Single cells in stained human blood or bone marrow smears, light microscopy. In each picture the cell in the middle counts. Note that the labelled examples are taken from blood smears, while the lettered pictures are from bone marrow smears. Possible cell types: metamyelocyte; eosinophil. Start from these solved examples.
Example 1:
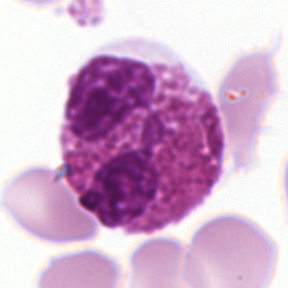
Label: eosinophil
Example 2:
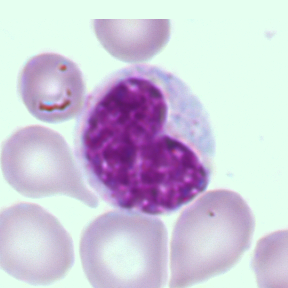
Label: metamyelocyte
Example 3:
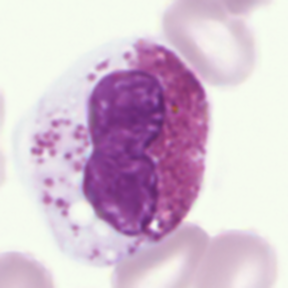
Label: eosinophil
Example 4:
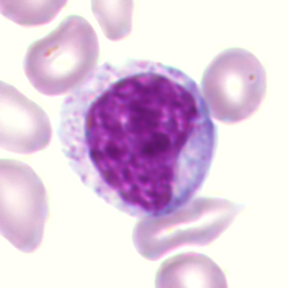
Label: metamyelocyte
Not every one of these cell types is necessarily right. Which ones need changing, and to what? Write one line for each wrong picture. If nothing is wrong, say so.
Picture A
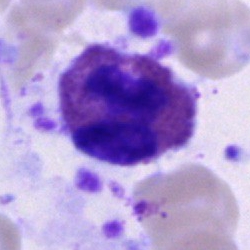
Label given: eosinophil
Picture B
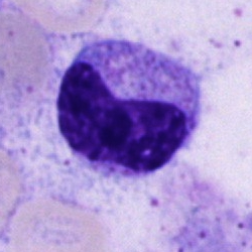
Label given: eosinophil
Wrong: B (eosinophil); correct: metamyelocyte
